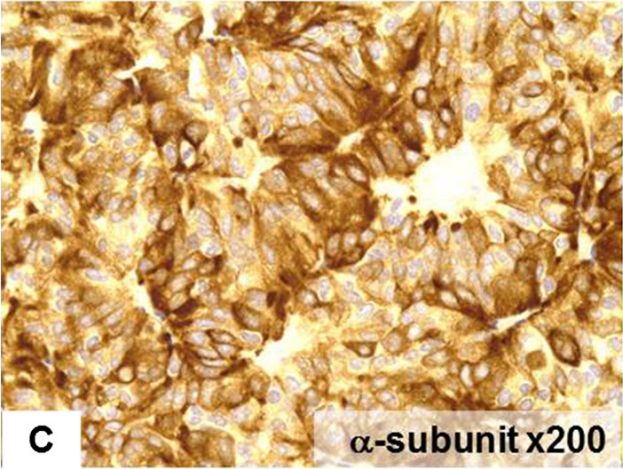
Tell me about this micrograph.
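Tumour cells of a pituitary adenoma grouped in acinar-like clusters around pale, nucleus-free centres. Brown stain fills the cytoplasm of most cells diffusely, some more densely than others. The nuclei are oval, pale bluish and appear unstained against the brown cytoplasm. Cells are elongated and oriented radially toward the pale centres.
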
